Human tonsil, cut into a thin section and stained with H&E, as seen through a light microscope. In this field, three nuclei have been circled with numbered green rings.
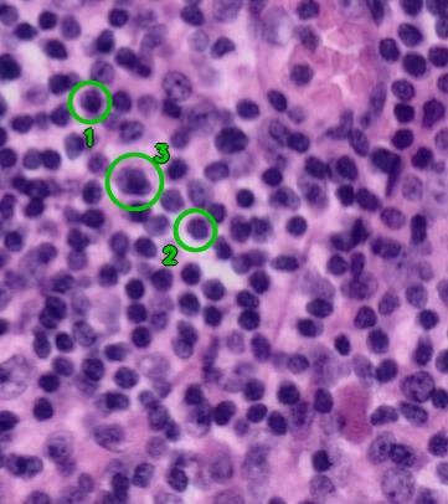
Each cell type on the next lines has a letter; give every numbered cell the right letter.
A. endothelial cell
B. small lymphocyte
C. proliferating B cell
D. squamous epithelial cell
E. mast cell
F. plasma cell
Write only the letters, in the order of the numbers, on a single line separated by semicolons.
B; B; C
